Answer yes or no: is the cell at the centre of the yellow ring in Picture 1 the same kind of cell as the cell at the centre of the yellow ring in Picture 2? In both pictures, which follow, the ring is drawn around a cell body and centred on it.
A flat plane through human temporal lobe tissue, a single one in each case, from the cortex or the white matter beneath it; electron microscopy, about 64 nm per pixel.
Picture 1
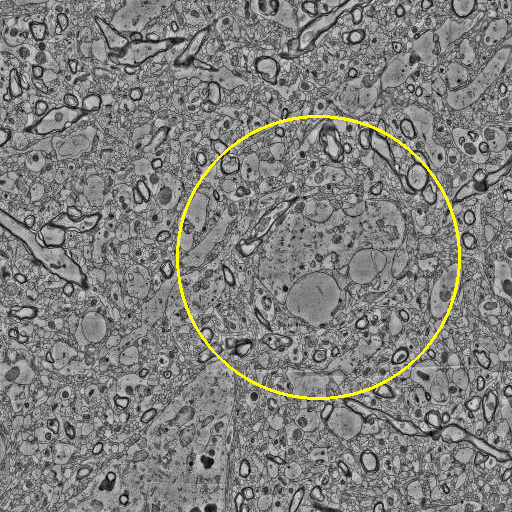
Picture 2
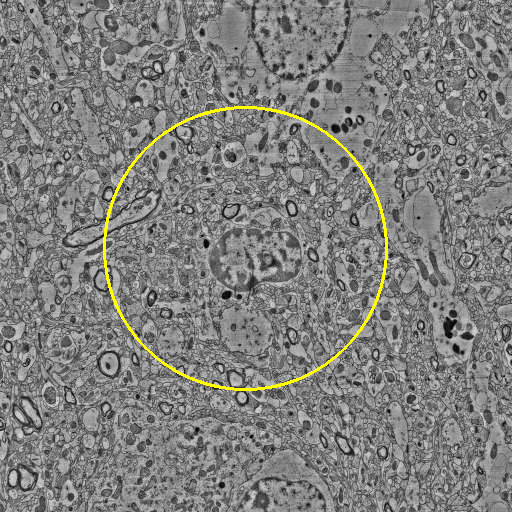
yes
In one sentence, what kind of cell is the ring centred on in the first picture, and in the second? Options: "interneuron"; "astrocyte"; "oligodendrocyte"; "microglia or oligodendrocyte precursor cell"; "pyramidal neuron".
The ring centre holds a microglial cell or oligodendrocyte precursor cell in each of the two pictures.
